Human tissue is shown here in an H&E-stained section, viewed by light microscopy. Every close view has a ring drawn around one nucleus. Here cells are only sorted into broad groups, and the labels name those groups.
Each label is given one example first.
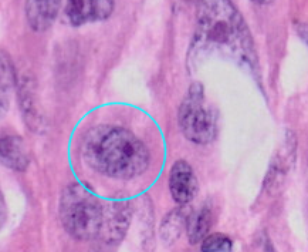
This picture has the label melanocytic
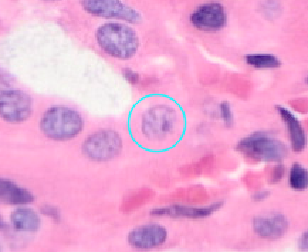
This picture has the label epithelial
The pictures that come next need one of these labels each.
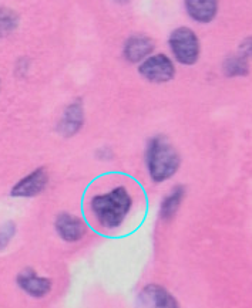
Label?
epithelial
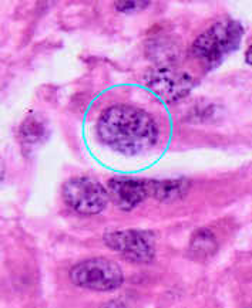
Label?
melanocytic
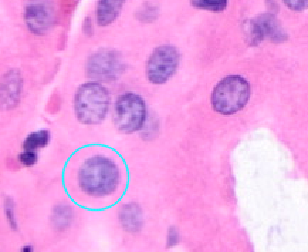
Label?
epithelial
